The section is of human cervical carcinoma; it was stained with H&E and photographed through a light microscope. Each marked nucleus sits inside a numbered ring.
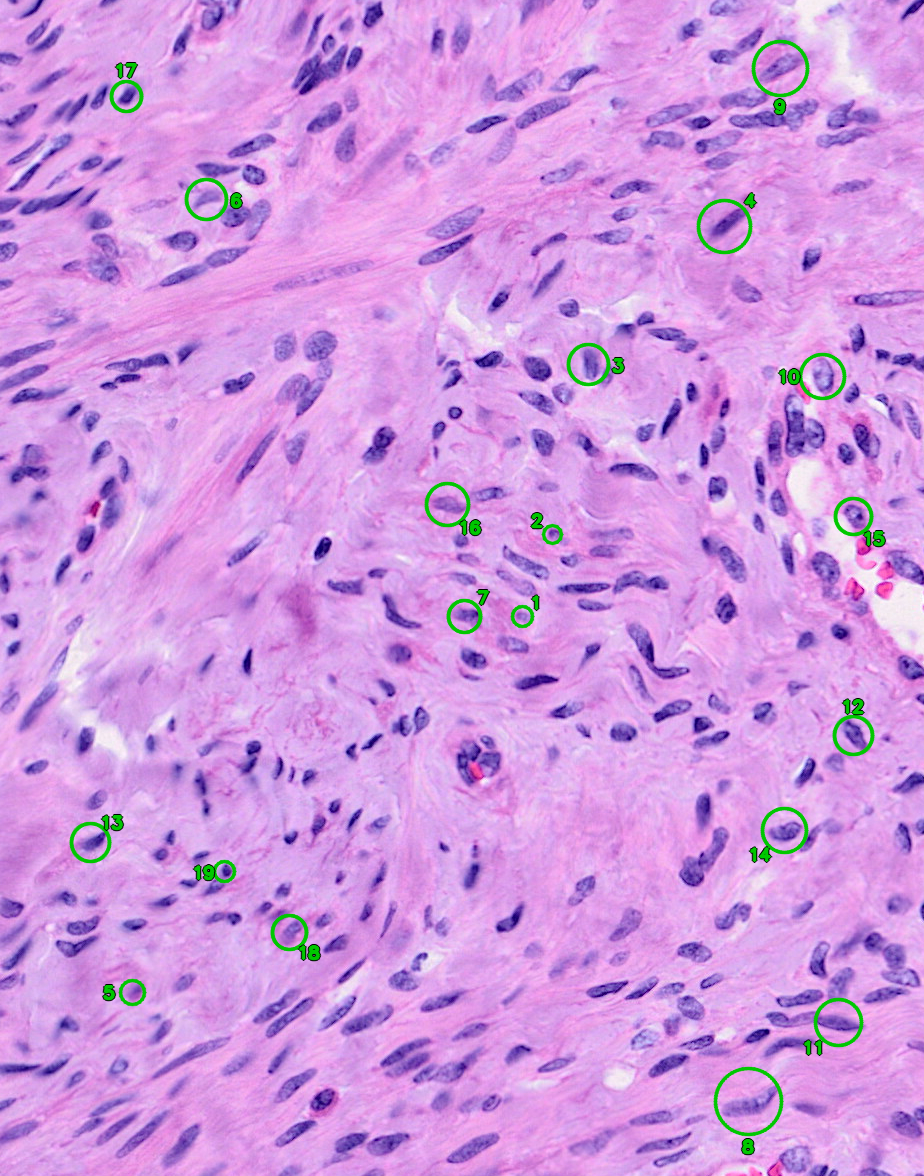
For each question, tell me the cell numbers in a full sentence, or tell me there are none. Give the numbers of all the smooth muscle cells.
The cells assigned the numbers 1, 2, 5, 7, 9, 16 and 18 are smooth muscle cells.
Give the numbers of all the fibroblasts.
The cells that have been numbered 3, 4, 6, 8, 11, 12, 13, 14, 17 and 19 are fibroblasts.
